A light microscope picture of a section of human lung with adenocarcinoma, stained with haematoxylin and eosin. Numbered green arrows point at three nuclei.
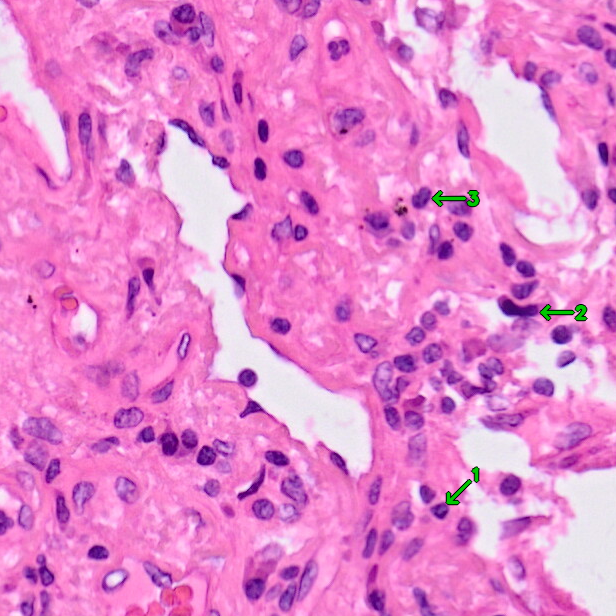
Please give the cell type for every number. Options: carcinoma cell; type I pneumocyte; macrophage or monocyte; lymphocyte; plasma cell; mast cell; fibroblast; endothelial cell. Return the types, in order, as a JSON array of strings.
["lymphocyte", "plasma cell", "lymphocyte"]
